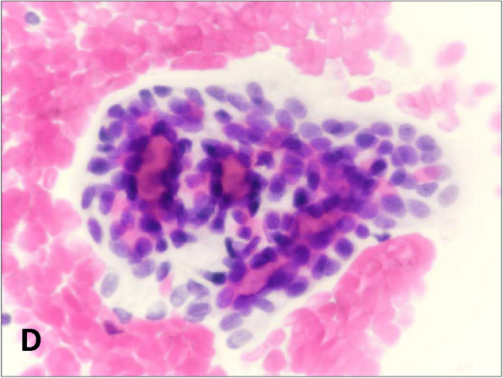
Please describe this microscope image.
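A cohesive cluster of small, uniform epithelial tumour cells is seen on a background of red blood cells. Cells lining the cores lie closest to the pink material, while the cells at the edge of the cluster form an outer layer. The nuclei are monotonous in size and shape.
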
